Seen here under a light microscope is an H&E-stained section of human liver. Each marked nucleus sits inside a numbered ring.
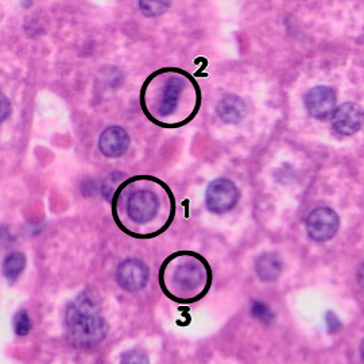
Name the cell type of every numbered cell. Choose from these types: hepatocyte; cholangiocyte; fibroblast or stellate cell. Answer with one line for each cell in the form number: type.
1: hepatocyte
2: fibroblast or stellate cell
3: hepatocyte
